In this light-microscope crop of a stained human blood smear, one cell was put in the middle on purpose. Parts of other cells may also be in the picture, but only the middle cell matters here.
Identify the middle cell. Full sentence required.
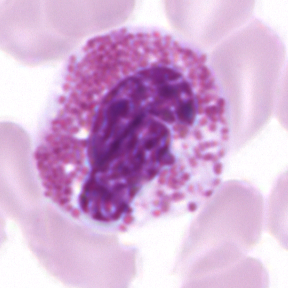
The centrally located cell in the crop is an eosinophil.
